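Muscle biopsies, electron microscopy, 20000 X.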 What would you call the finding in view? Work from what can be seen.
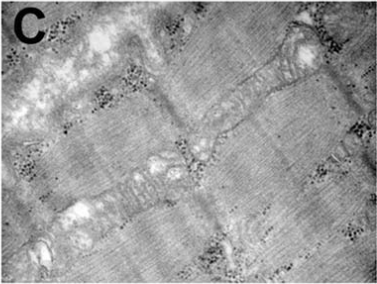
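Abnormally elongated mitochondria with derangement of cristae and vacuoles. Long, narrow membrane-bound organelles run between the myofibrils. Their internal membranes are irregular rather than in neat parallel folds. Pale, empty-looking clear spaces lie beside them.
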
